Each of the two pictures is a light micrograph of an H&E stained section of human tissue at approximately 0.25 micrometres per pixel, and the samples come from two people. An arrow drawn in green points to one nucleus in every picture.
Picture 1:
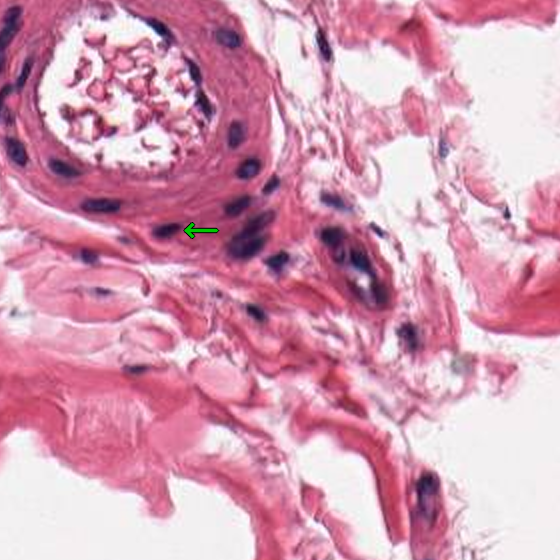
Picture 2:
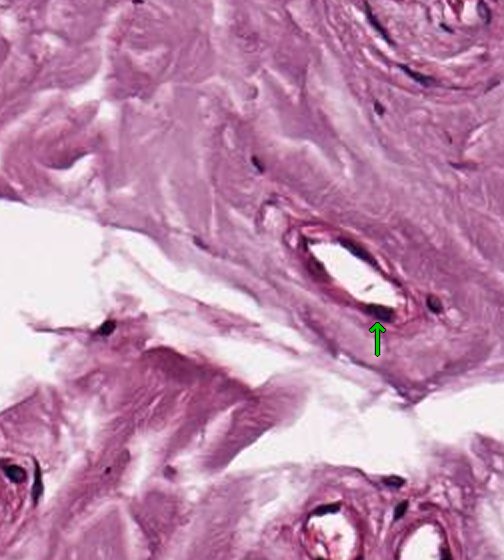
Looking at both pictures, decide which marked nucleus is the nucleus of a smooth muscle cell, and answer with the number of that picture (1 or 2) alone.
1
